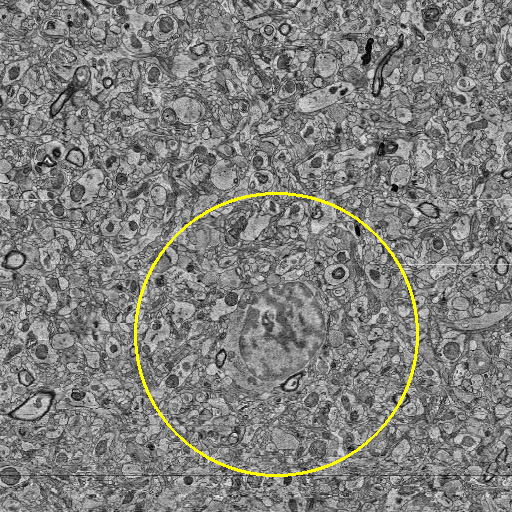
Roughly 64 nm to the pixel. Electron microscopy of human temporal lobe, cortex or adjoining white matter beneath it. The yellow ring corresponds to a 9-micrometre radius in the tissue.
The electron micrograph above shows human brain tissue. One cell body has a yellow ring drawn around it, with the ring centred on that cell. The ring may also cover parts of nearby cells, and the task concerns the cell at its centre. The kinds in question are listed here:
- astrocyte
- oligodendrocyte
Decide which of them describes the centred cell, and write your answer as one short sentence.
The centred cell is an oligodendrocyte.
